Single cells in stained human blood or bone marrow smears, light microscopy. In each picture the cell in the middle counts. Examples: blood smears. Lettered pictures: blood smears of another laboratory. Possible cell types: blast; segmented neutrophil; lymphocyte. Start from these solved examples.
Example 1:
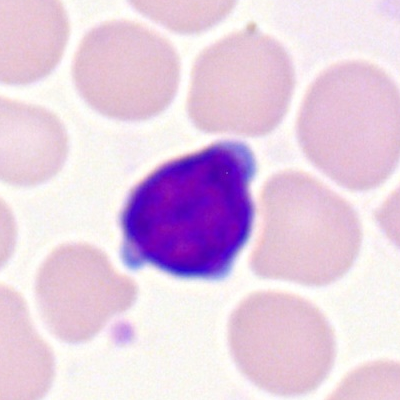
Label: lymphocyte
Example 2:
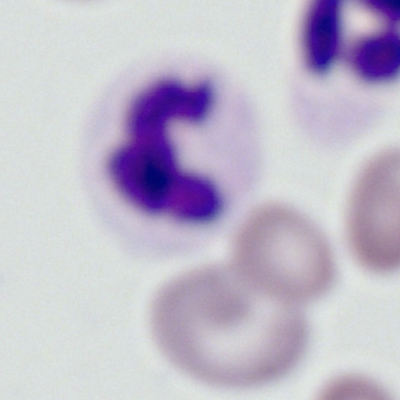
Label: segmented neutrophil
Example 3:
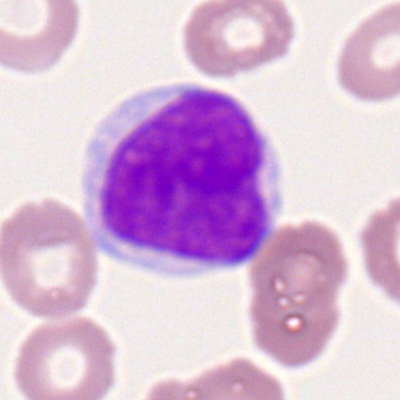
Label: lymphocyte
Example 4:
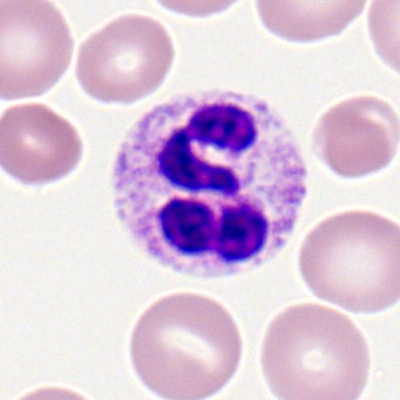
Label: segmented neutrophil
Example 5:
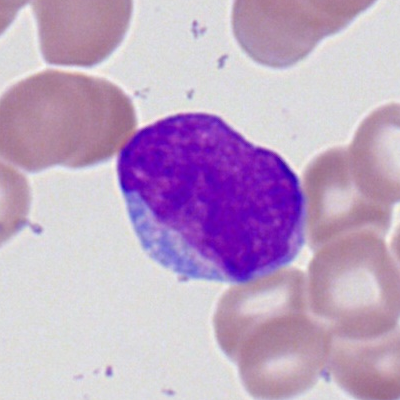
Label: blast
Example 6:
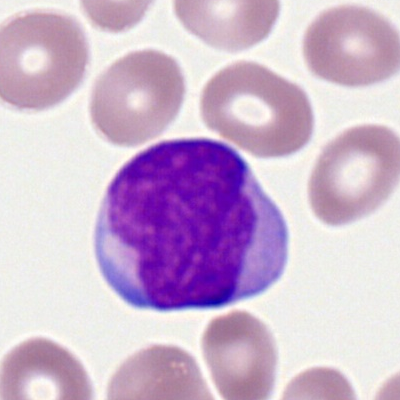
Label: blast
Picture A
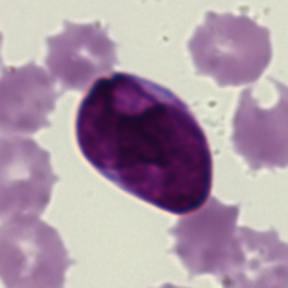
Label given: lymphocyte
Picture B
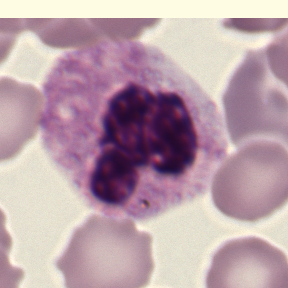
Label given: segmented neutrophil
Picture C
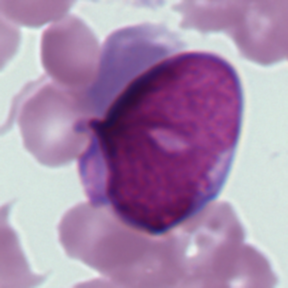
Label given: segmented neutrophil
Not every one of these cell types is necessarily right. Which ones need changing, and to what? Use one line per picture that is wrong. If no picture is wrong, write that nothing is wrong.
Wrong: A (lymphocyte); correct: blast
Wrong: C (segmented neutrophil); correct: blast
